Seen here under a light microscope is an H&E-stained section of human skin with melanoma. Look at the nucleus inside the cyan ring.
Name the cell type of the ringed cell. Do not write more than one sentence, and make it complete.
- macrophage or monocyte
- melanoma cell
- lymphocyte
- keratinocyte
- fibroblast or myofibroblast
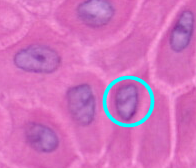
Cell type answer for this item: the ringed cell is a keratinocyte.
